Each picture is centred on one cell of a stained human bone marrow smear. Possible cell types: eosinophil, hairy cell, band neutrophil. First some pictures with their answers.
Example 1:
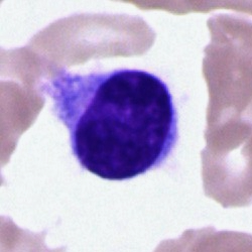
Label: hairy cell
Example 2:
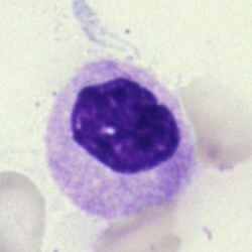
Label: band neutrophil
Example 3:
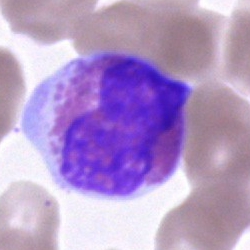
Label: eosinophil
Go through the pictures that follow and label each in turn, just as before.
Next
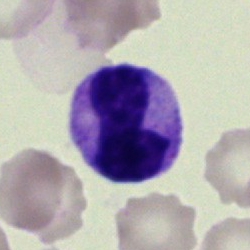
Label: band neutrophil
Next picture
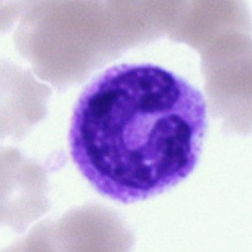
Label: band neutrophil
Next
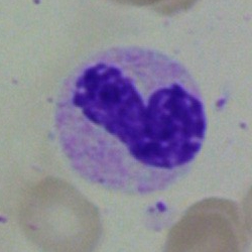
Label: band neutrophil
